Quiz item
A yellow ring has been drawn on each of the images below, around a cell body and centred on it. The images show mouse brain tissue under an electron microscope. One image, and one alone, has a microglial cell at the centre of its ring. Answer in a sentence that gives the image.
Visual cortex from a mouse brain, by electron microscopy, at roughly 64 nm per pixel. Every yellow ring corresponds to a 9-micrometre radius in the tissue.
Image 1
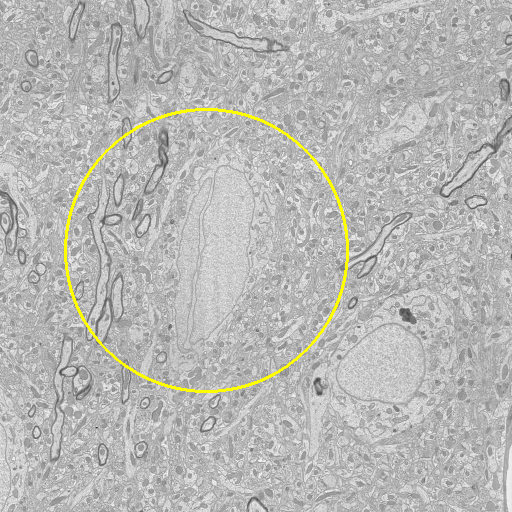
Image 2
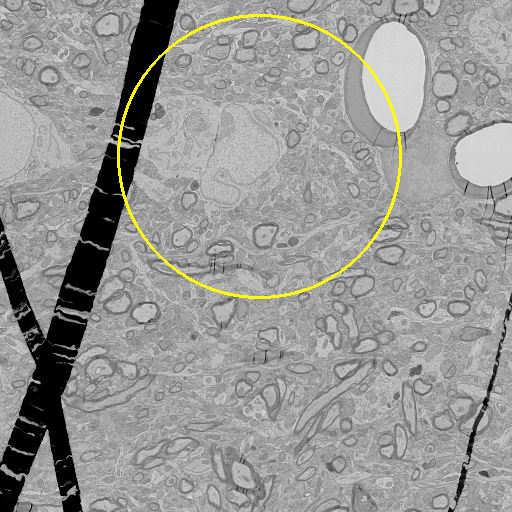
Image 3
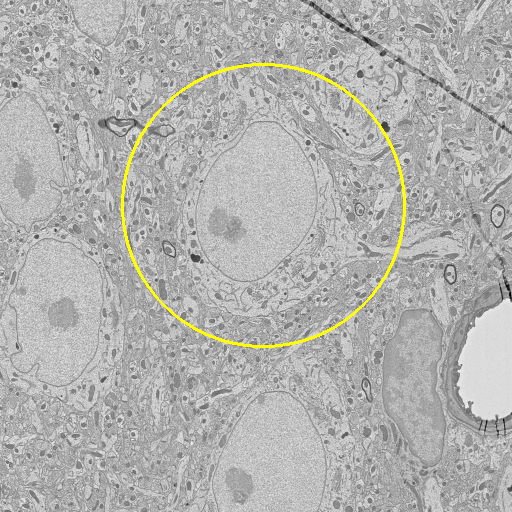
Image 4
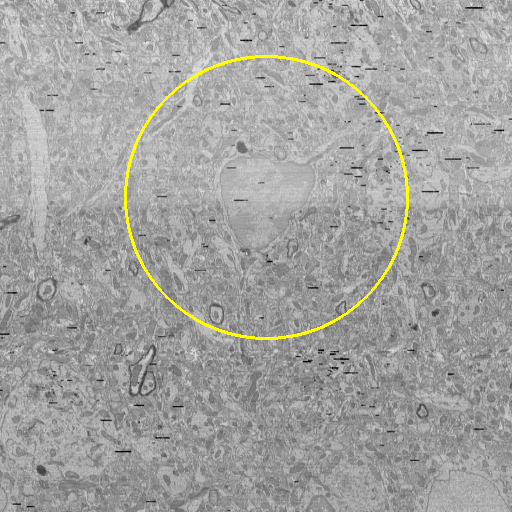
Image 4 shows it at the centre of the ring.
